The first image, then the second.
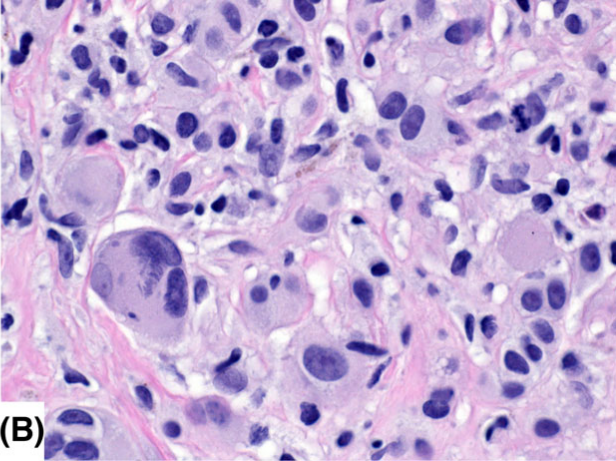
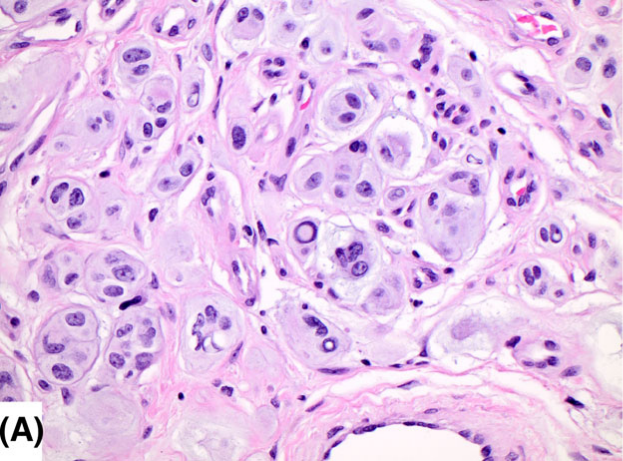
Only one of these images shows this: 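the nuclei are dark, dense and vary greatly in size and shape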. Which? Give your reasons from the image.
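First image: many very dark, irregular nuclei of widely differing sizes, including a large multinucleated cell. On this evidence: the first image.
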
